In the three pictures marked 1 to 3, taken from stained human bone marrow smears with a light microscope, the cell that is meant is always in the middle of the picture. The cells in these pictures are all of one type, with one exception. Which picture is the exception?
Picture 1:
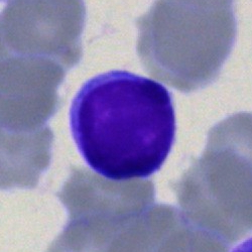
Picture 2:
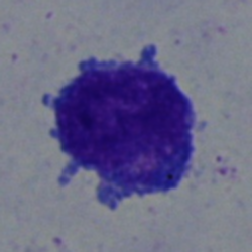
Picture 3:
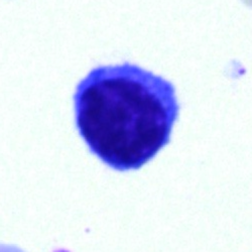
2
